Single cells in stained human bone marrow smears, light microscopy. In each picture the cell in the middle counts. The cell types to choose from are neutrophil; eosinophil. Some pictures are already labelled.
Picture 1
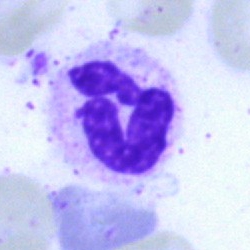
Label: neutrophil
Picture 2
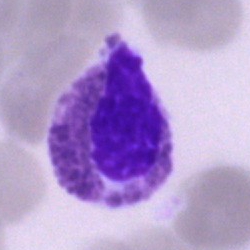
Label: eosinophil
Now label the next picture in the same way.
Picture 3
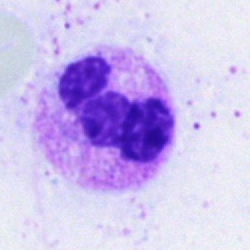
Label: neutrophil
